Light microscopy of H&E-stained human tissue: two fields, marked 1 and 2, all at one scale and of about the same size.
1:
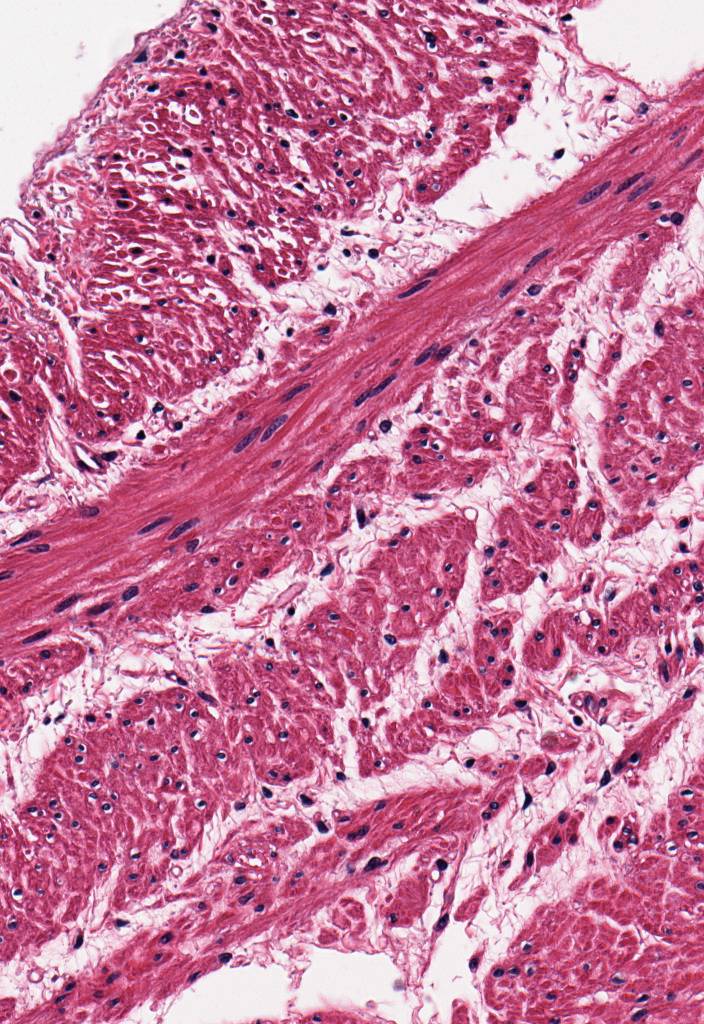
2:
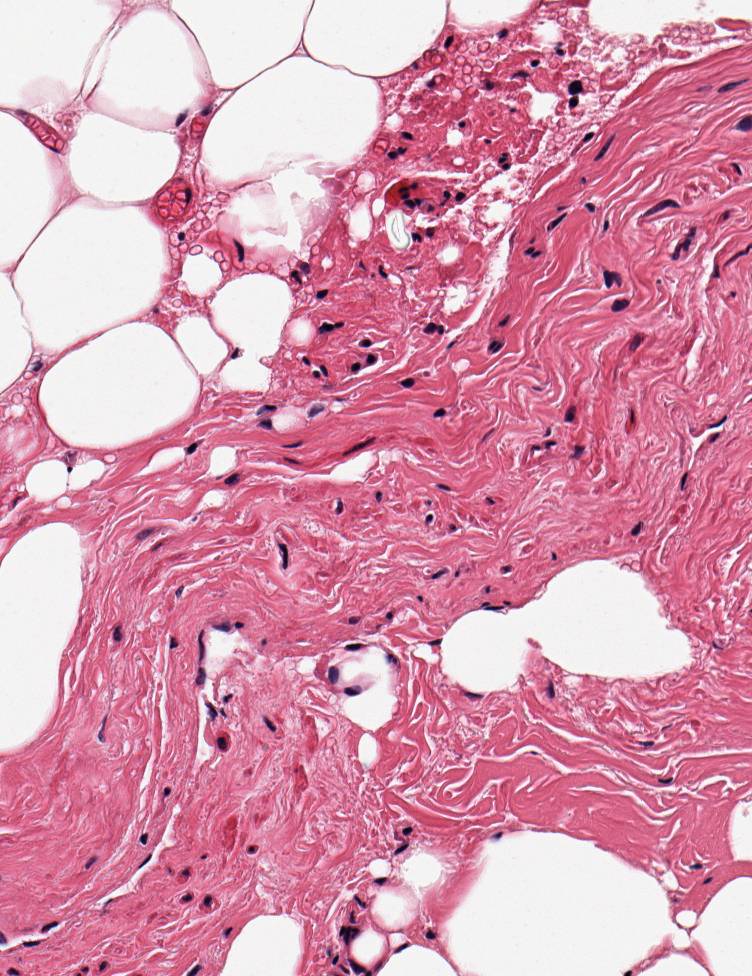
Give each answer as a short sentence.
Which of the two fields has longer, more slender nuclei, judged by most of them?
Longer, more slender nuclei lie in field 2.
